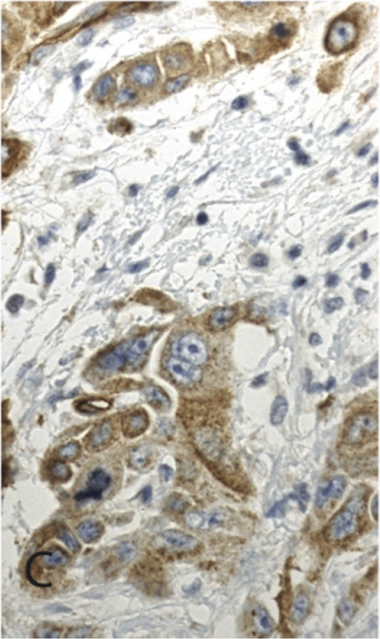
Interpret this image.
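Small glands and clusters of adenocarcinoma cells are set in a loose, pale fibrous stroma. The tumour cells show a moderate granular brown stain in their cytoplasm, while their large oval nuclei with prominent nucleoli remain blue. Stromal cells between the tumour clusters are largely unstained.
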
